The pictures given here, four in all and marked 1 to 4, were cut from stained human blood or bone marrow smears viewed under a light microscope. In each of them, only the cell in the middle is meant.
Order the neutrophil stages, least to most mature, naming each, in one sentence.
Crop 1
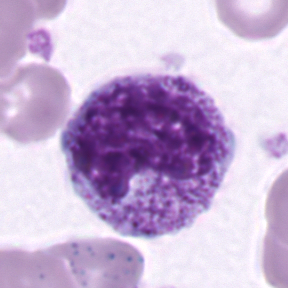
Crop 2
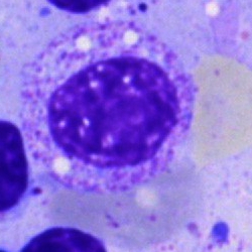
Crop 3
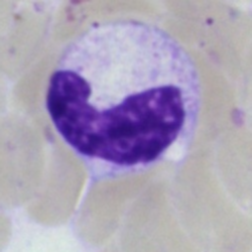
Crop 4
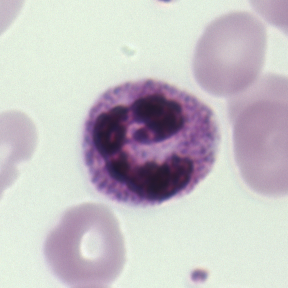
The sequence from earliest to latest maturation stage is crop 2 (a myelocyte), crop 1 (a metamyelocyte), crop 3 (a band neutrophil) and crop 4 (a segmented neutrophil).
